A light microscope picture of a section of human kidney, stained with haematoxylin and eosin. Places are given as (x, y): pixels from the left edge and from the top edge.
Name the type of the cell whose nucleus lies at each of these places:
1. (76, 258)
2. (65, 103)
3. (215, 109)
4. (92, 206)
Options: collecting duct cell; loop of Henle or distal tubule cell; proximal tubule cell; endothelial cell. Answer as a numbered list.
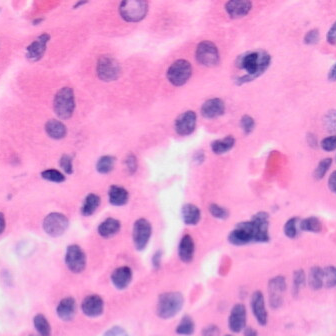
1. loop of Henle or distal tubule cell
2. proximal tubule cell
3. loop of Henle or distal tubule cell
4. loop of Henle or distal tubule cell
